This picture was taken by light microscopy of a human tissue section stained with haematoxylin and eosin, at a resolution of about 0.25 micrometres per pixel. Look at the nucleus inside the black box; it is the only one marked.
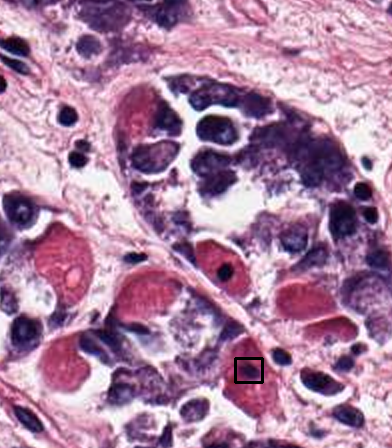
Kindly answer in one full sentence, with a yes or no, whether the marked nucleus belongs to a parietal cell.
Yes, belonging to a parietal cell is the marked nucleus.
